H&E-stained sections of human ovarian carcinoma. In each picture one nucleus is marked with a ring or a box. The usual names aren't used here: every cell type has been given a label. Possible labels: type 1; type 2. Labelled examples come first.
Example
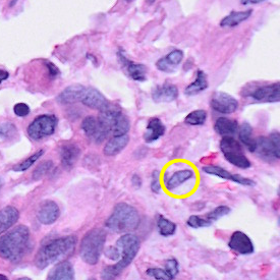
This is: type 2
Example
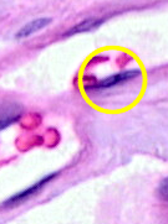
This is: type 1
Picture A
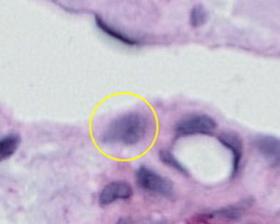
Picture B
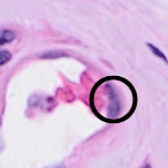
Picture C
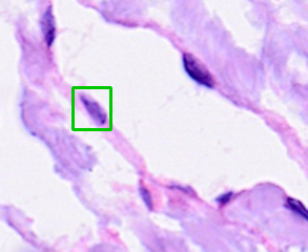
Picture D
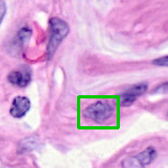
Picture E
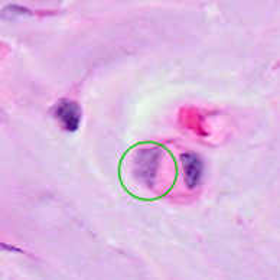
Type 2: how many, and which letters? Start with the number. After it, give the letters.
0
